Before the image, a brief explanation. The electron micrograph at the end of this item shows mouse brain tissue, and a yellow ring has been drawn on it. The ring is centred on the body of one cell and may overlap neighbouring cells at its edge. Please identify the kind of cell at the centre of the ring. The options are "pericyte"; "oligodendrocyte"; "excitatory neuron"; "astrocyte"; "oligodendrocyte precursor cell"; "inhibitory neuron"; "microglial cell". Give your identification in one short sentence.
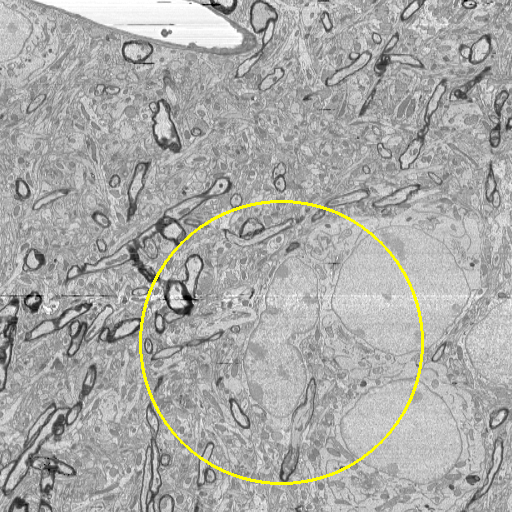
The ring has been placed around an oligodendrocyte precursor cell.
